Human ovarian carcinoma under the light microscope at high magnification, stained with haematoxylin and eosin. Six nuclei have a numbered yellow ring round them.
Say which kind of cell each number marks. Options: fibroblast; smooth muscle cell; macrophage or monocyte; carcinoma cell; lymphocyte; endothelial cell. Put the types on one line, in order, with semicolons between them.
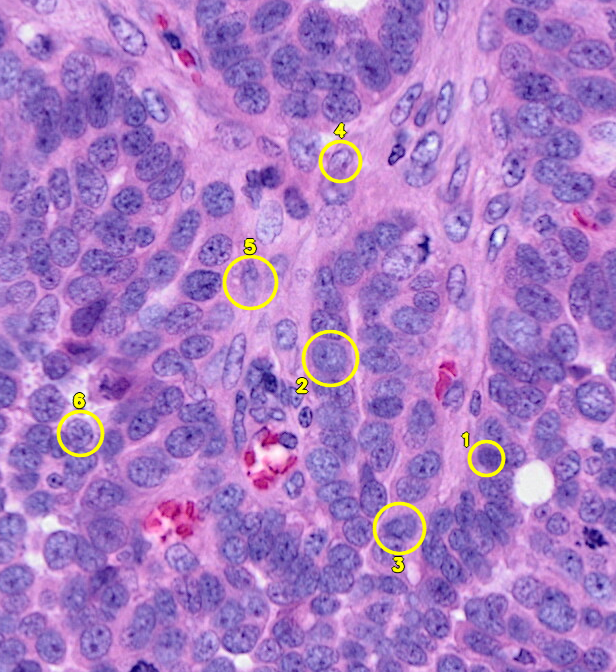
carcinoma cell; carcinoma cell; carcinoma cell; fibroblast; fibroblast; carcinoma cell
